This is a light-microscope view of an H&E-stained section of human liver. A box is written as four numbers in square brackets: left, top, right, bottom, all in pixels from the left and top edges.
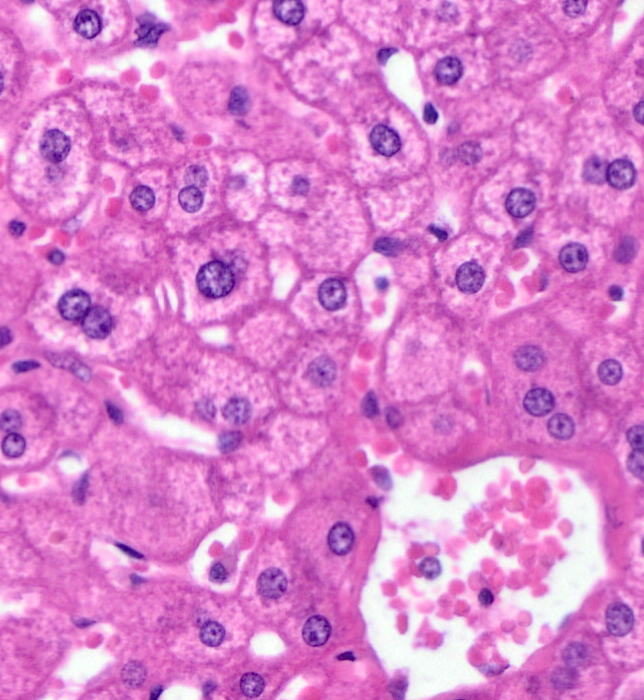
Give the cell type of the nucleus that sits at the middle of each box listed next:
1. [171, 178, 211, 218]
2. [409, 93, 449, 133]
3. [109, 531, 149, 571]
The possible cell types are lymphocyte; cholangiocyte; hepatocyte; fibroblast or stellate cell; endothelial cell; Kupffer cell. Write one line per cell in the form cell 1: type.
cell 1: hepatocyte
cell 2: lymphocyte
cell 3: endothelial cell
